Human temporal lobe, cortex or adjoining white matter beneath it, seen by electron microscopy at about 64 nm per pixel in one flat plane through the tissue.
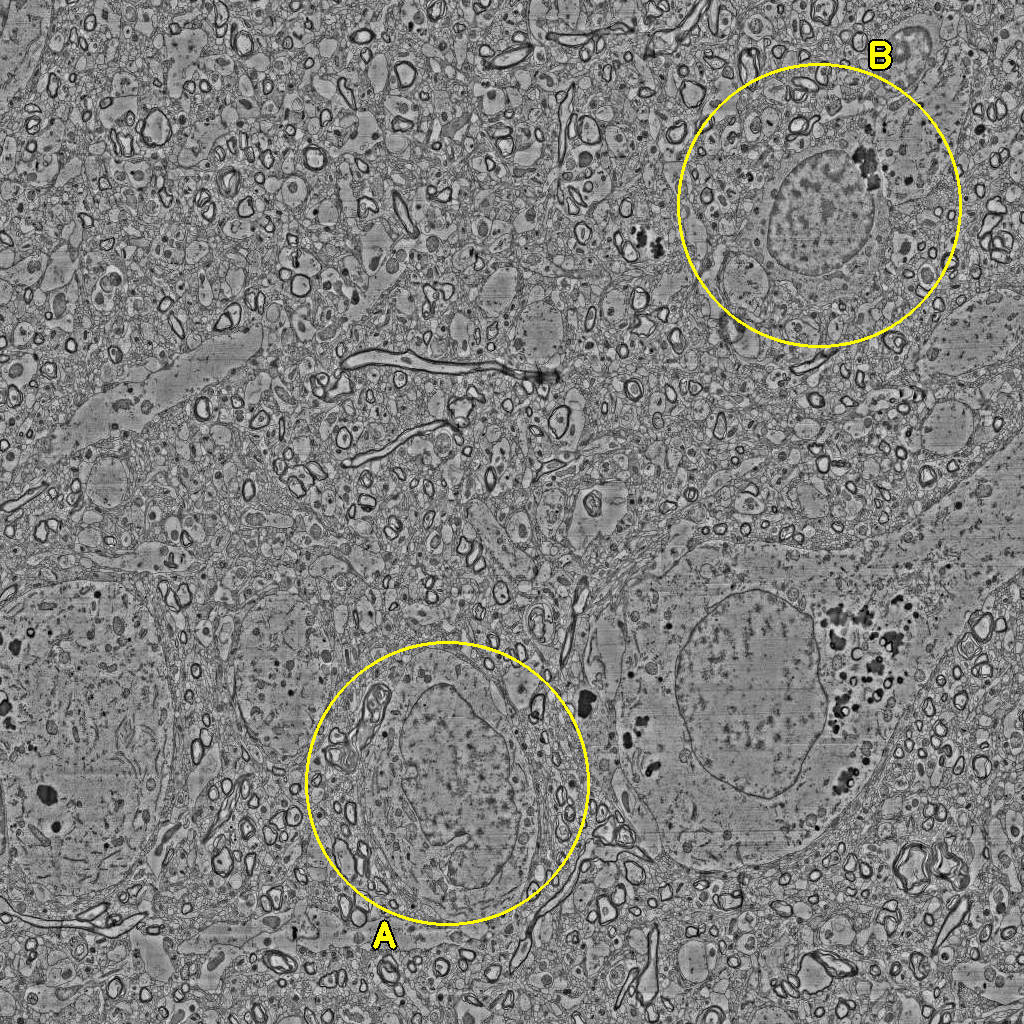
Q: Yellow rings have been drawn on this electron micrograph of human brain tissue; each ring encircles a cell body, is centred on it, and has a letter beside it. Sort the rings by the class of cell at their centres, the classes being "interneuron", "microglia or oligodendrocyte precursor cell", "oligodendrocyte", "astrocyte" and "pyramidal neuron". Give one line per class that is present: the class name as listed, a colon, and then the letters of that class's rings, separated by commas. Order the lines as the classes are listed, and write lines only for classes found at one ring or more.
interneuron: A
oligodendrocyte: B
